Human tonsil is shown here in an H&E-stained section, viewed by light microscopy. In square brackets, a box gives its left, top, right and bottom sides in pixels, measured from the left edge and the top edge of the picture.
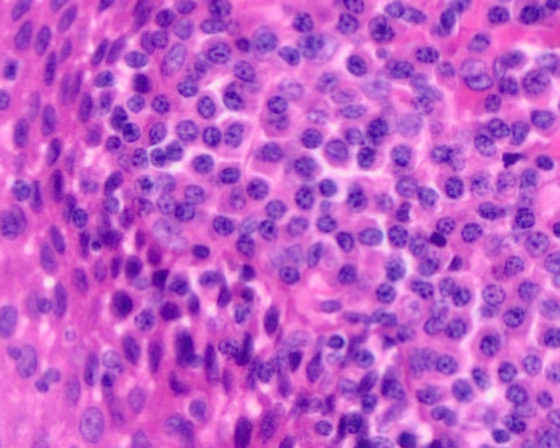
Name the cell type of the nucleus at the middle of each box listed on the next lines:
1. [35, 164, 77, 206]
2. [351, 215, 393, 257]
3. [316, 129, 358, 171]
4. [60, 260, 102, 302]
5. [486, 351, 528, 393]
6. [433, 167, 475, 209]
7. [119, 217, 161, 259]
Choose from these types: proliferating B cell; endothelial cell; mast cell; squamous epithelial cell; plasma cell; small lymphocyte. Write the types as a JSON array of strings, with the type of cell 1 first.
["squamous epithelial cell", "plasma cell", "plasma cell", "squamous epithelial cell", "plasma cell", "plasma cell", "squamous epithelial cell"]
